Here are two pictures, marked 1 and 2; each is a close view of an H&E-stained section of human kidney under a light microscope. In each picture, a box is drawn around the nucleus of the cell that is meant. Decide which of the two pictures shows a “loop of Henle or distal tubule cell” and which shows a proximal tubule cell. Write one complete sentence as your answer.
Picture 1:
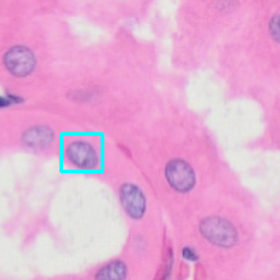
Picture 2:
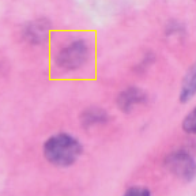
Picture 2 shows a proximal tubule cell, while picture 1 shows a “loop of Henle or distal tubule cell”.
